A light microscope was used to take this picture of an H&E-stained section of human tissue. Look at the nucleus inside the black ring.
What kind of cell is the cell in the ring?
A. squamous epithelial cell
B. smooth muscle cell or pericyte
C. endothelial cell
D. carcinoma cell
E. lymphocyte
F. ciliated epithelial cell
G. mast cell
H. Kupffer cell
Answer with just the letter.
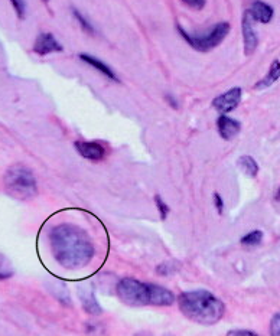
C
